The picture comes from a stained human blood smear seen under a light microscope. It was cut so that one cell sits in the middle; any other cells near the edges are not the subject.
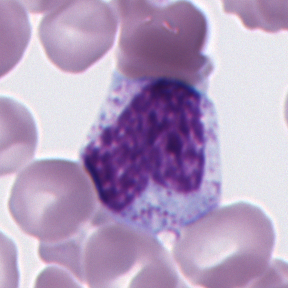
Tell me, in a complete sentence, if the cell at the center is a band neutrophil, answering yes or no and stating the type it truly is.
Yes, the cell in the middle of this smear crop is a band neutrophil.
